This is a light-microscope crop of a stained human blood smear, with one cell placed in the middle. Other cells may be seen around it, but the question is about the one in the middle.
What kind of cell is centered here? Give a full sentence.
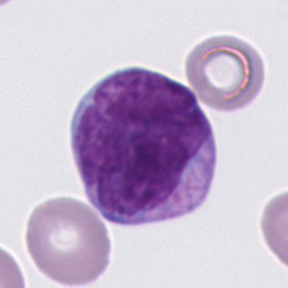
The centrally positioned cell in the crop represents an atypical promyelocyte.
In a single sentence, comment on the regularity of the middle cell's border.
No surface projections are present; the cell outline is smooth.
